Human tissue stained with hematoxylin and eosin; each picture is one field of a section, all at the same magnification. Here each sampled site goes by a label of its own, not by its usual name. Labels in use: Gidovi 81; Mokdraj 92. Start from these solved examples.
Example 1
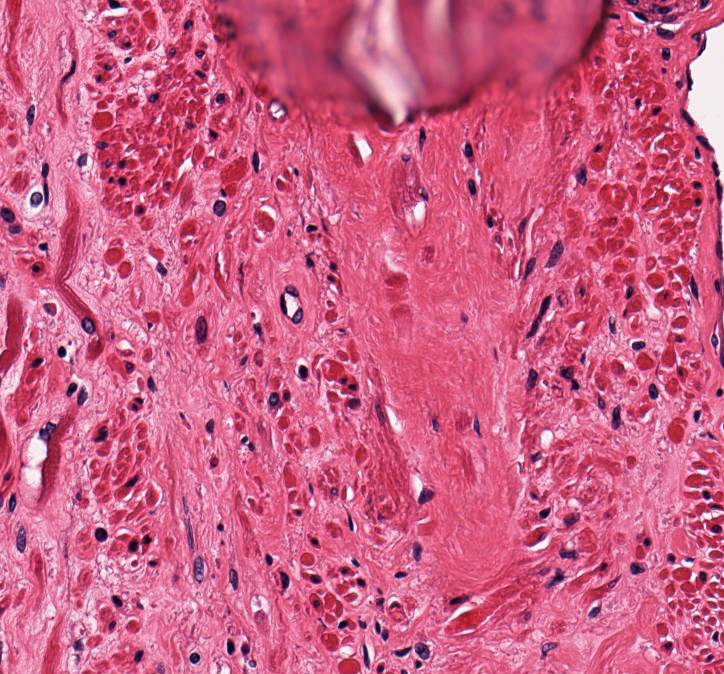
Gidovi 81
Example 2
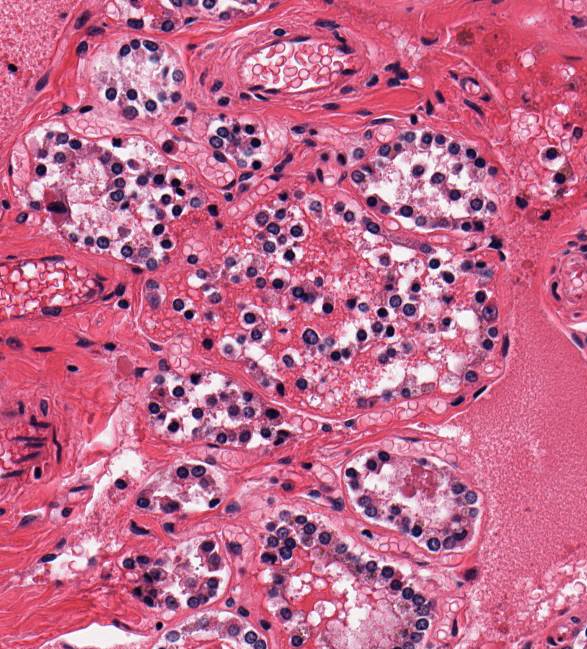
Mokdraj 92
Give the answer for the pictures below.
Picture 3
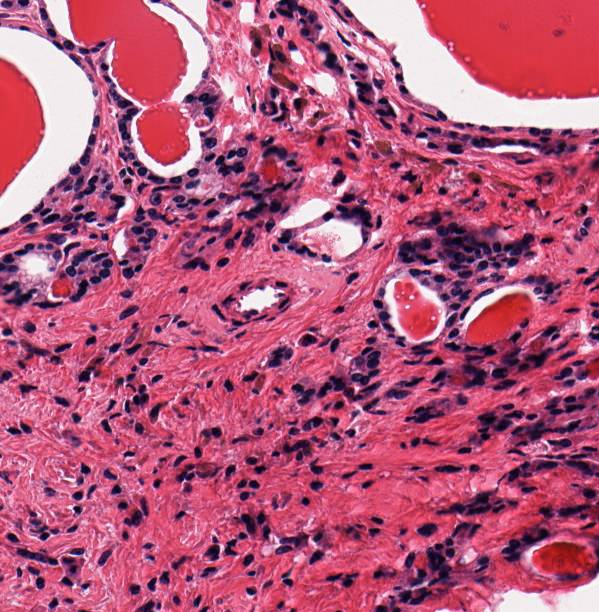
Mokdraj 92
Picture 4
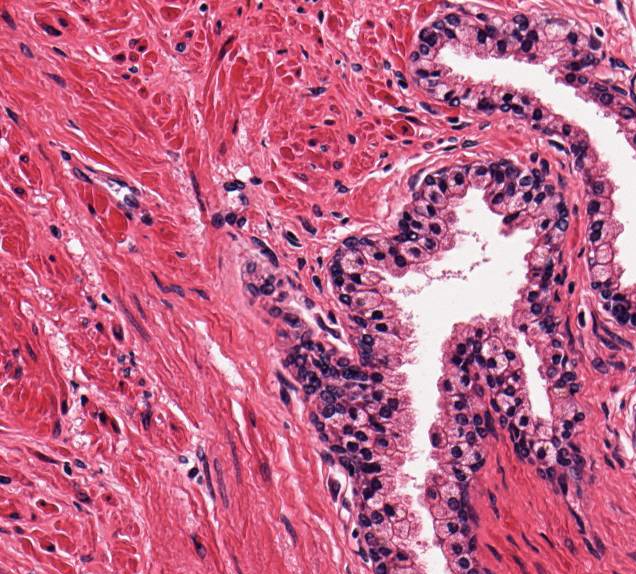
Gidovi 81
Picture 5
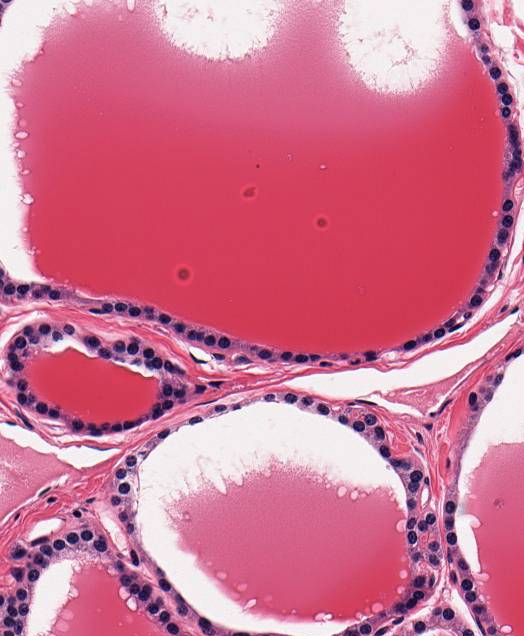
Mokdraj 92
